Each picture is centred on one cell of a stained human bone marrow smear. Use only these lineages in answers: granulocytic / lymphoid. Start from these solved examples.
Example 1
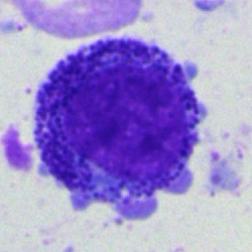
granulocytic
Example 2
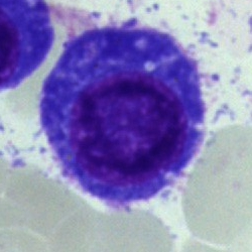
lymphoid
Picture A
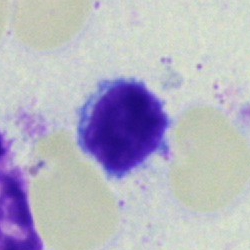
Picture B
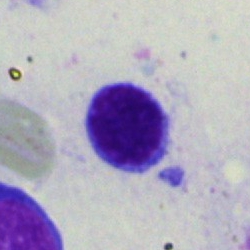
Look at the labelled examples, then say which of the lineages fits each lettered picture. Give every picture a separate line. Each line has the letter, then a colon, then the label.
A: lymphoid
B: lymphoid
